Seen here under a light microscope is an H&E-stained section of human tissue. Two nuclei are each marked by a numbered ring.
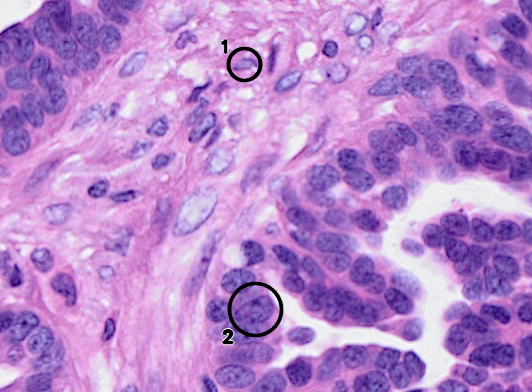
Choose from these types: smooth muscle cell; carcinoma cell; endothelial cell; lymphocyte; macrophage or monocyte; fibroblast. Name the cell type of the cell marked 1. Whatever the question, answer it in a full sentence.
The cell pointed out by number 1 is a fibroblast.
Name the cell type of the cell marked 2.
Marked with the number 2, this cell is a carcinoma cell.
